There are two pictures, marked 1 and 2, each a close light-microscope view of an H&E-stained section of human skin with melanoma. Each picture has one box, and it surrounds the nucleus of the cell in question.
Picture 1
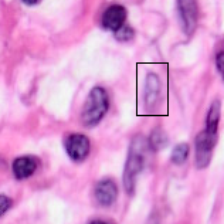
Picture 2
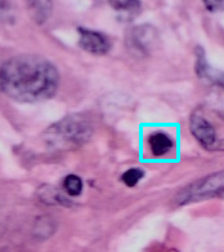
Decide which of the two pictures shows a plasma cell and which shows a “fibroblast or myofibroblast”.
1: fibroblast or myofibroblast
2: plasma cell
